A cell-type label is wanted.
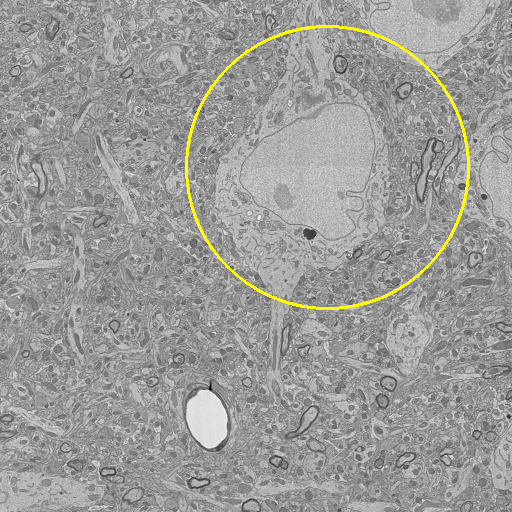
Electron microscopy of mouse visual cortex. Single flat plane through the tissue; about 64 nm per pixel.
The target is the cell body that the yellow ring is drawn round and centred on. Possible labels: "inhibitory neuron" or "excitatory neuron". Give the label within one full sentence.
Of the labels offered, the cell in the middle of the yellow ring is an excitatory neuron.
